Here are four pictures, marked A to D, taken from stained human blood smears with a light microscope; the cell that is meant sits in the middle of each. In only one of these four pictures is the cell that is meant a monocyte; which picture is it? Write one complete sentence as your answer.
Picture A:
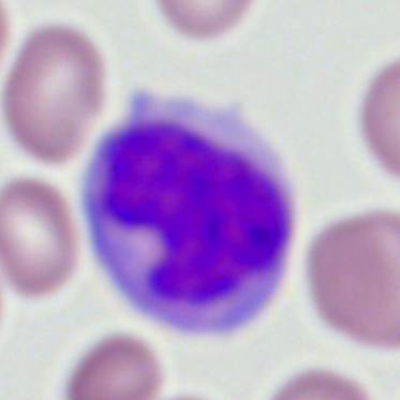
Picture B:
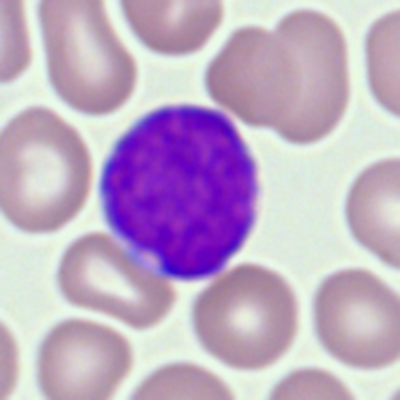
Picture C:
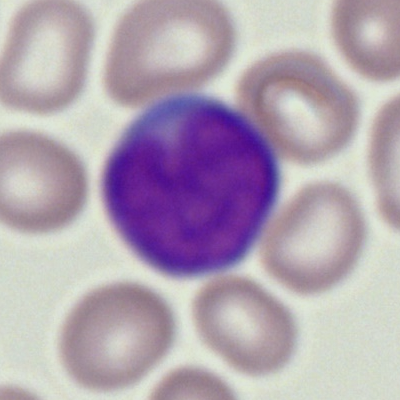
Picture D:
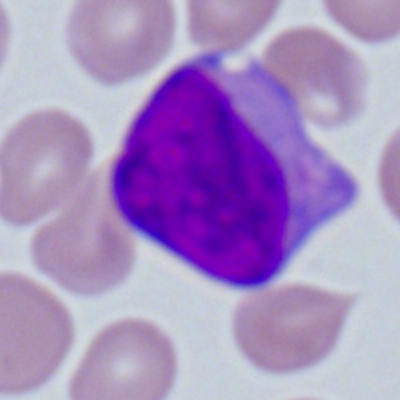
Picture A is the one that shows the monocyte.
